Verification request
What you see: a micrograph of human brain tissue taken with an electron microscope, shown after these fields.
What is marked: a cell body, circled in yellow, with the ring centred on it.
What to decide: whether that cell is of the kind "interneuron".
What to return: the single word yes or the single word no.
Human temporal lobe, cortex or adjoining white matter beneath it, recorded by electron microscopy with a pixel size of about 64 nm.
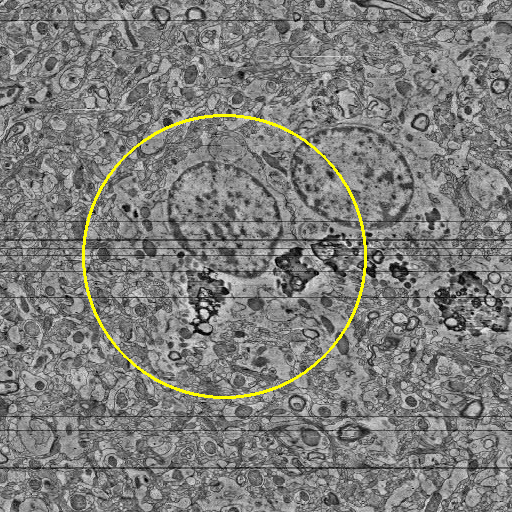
no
